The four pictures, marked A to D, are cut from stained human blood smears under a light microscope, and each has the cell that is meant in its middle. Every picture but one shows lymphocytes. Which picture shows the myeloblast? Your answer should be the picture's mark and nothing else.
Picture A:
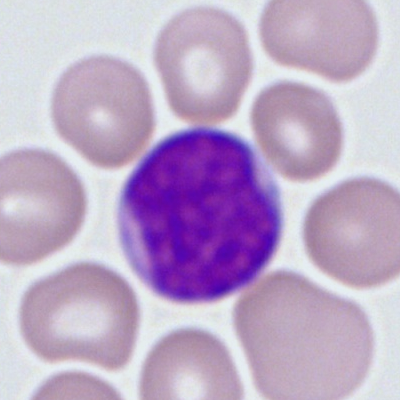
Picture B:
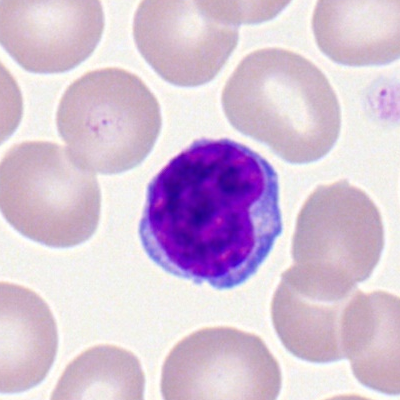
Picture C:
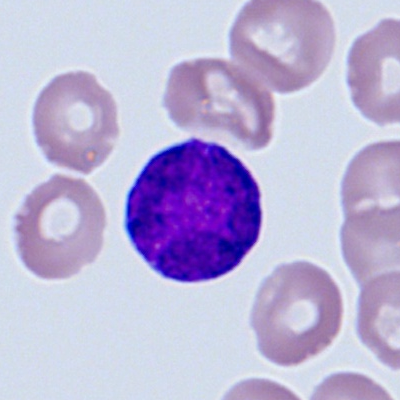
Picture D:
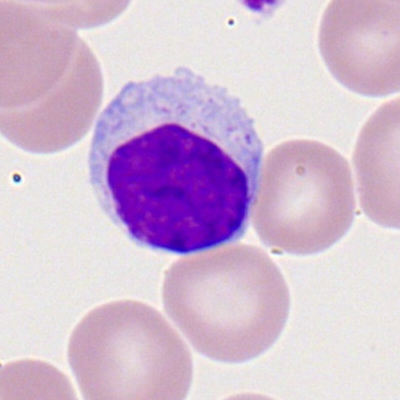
A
